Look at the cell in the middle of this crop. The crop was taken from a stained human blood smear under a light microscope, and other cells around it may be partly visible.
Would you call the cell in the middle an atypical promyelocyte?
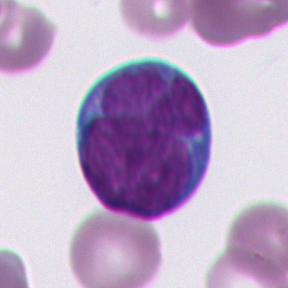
no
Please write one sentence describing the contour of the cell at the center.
Smooth edges only, with no spikes, blebs, or other projections.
